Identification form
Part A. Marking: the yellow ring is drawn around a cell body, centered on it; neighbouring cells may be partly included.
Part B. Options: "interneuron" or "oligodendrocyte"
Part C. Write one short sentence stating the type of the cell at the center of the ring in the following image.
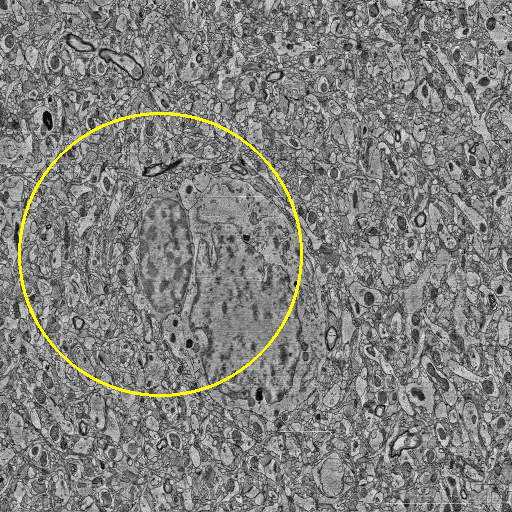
The center of the ring holds an oligodendrocyte.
